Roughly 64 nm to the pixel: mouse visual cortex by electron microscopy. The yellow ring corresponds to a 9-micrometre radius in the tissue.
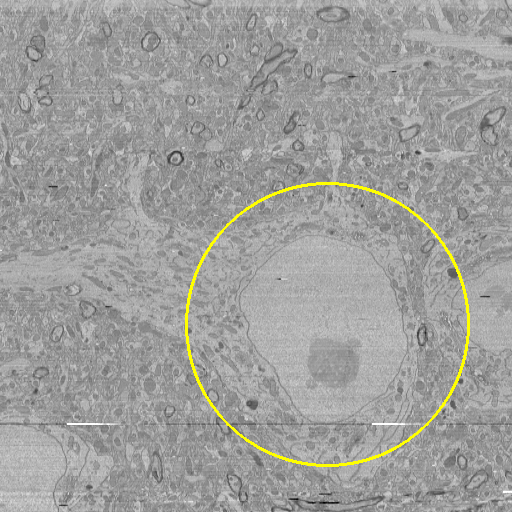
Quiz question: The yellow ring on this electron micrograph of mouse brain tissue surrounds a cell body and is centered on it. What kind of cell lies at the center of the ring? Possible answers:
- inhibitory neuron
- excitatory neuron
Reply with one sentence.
The ring's center lies on an excitatory neuron.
